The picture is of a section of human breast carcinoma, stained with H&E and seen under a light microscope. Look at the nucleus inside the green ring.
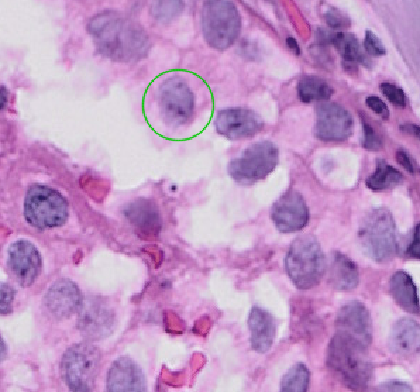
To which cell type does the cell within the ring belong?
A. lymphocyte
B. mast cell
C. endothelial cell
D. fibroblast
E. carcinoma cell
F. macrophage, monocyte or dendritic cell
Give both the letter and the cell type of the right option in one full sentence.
Option E is correct in stating that the cell within the ring is a carcinoma cell.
